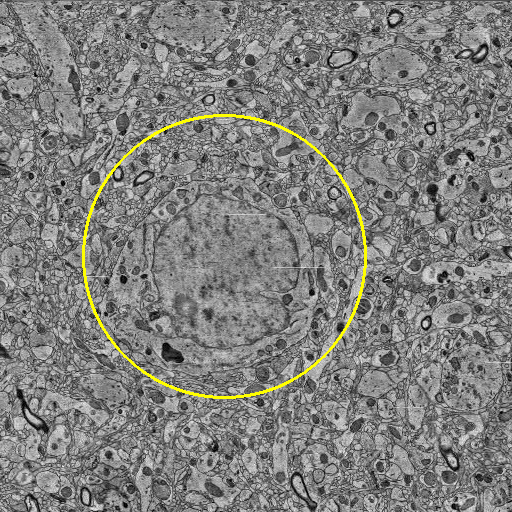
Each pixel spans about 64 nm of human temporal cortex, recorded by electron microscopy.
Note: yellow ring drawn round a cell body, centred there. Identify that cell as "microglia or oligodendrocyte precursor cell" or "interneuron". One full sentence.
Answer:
The cell in the middle of the ring is an interneuron.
